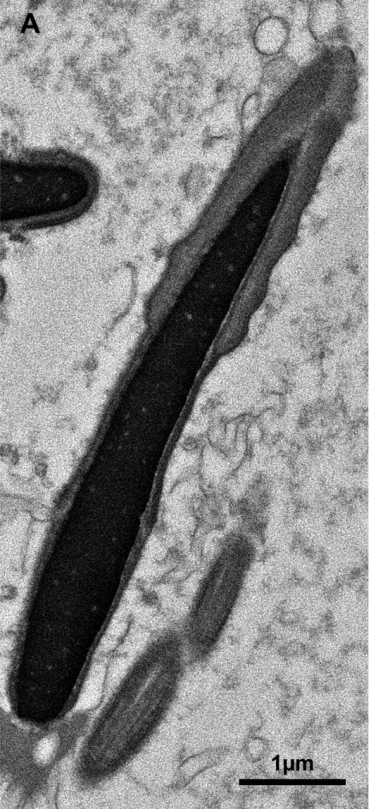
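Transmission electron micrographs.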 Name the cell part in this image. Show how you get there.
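Spermatozoon head. A long, narrow, electron-dense body tapering at one end.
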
